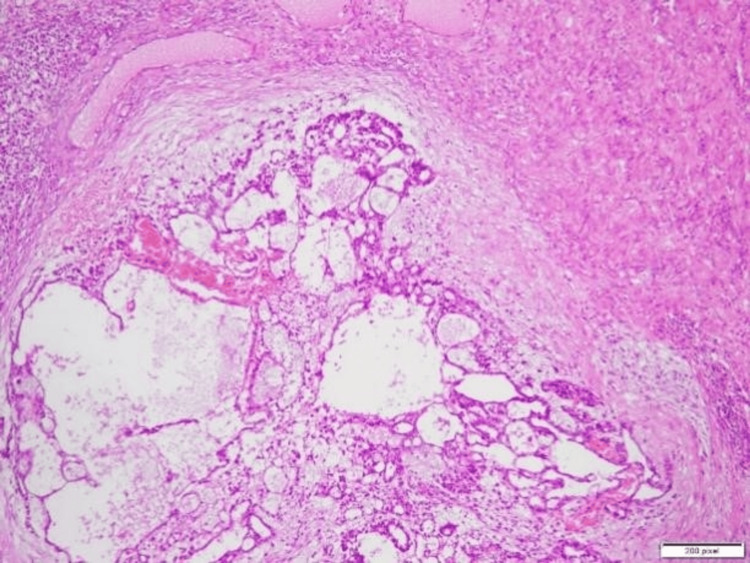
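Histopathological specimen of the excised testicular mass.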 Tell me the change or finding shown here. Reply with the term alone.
yolk sac tumor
